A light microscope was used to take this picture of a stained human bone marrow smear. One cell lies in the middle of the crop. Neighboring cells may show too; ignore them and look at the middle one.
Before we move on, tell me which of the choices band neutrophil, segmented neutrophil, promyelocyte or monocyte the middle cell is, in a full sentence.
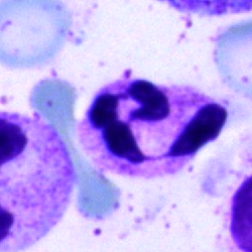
The middle position in this crop is taken by a segmented neutrophil.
